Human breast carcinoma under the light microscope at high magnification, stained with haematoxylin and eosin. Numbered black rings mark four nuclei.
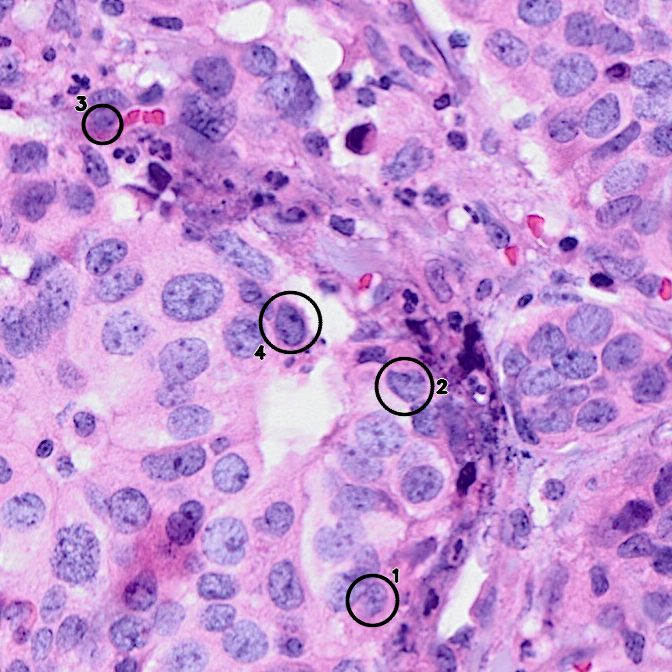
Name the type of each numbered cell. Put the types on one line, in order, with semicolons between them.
carcinoma cell; carcinoma cell; endothelial cell; carcinoma cell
